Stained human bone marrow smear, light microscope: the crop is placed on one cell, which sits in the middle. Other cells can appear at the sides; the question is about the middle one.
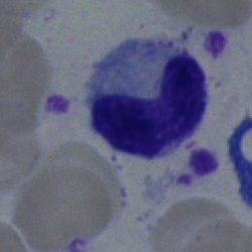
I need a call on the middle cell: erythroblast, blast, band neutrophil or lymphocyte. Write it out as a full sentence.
As for the central cell, it is a band neutrophil.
